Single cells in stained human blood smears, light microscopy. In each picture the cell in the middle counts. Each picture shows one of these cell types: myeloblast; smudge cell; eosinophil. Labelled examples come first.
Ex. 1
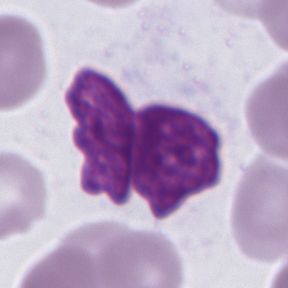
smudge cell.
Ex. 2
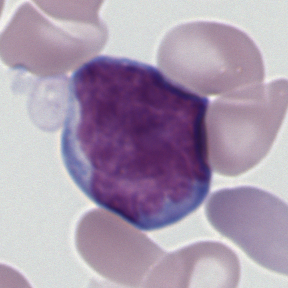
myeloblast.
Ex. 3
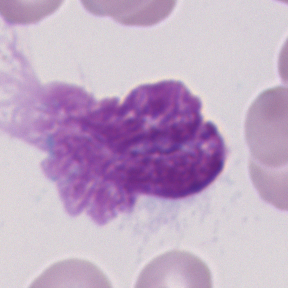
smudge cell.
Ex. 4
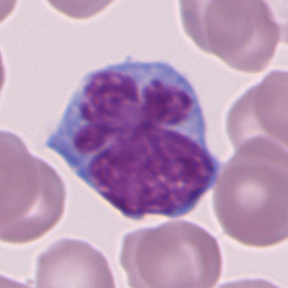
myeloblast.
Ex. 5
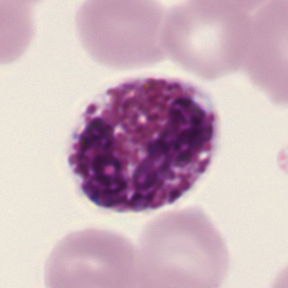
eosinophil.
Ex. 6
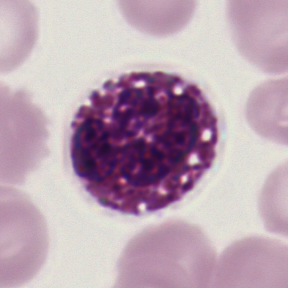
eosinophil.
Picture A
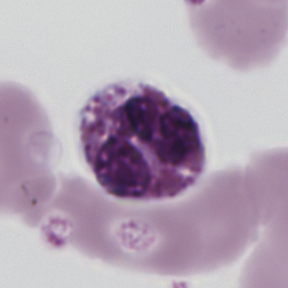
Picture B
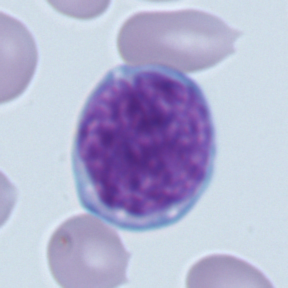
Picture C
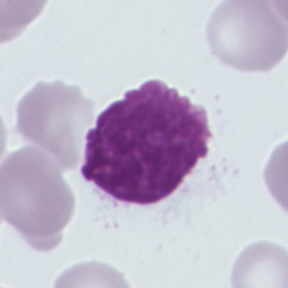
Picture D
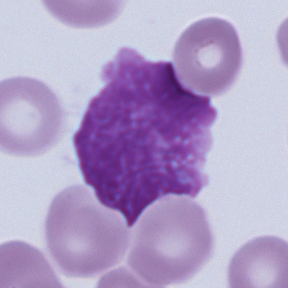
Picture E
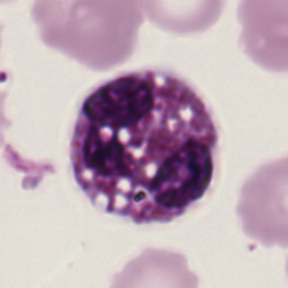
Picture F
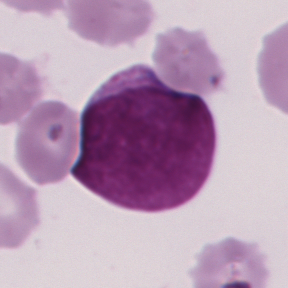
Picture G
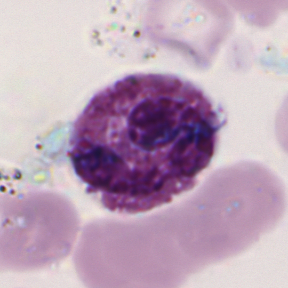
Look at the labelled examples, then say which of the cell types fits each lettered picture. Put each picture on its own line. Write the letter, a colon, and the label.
A: eosinophil.
B: myeloblast.
C: smudge cell.
D: smudge cell.
E: eosinophil.
F: myeloblast.
G: eosinophil.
